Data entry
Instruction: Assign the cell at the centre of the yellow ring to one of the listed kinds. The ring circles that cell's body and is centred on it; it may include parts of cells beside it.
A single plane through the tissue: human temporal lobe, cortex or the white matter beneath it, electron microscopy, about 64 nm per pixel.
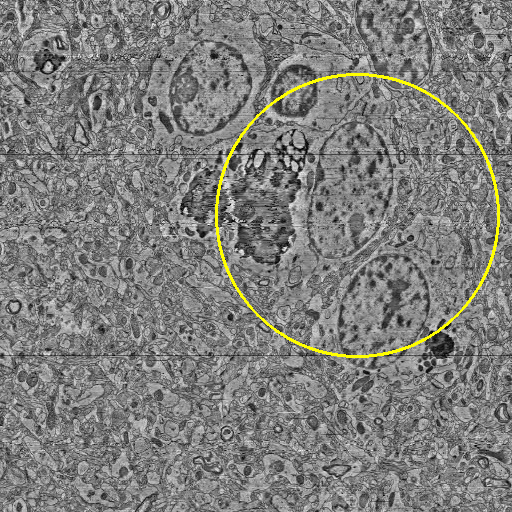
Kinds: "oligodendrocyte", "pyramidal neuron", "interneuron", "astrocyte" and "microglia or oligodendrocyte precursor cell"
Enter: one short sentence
The centre of the ring falls on an astrocyte.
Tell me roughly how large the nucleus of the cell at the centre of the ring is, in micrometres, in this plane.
Roughly 9 by 5 micrometers, clearly longer than it is wide in this plane.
